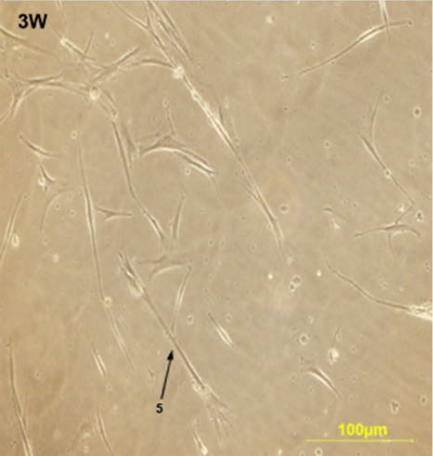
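Many are long and very thin, with narrow spindle-shaped or thread-like bodies running in different directions, and some join end to end into long tube-like structures crossing much of the field. Others are smaller, with a few slender processes branching from a central body. Between them large stretches of empty substrate are visible, scattered with small round refractile specks. The cells are far less crowded than a confluent culture would be.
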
